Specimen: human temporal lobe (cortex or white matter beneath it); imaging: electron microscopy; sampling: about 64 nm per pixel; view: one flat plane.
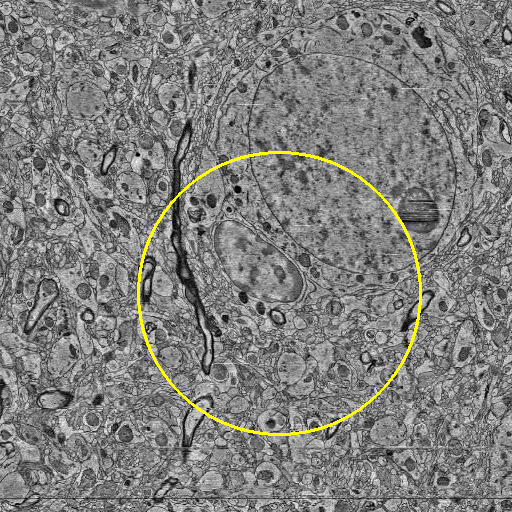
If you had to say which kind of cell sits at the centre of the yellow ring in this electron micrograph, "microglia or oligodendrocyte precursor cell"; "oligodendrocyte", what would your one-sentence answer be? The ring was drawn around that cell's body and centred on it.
The cell sitting at the centre of the ring is a microglial cell or oligodendrocyte precursor cell.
